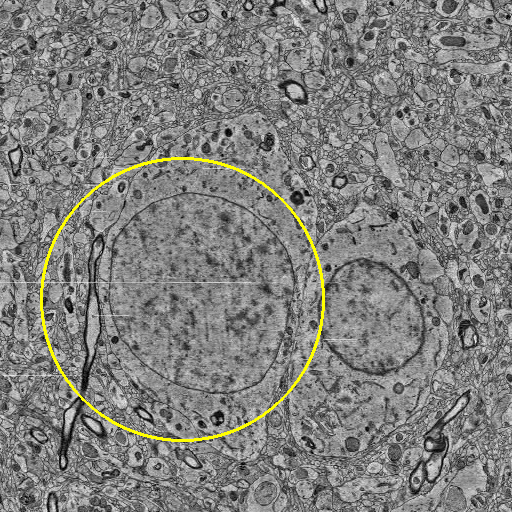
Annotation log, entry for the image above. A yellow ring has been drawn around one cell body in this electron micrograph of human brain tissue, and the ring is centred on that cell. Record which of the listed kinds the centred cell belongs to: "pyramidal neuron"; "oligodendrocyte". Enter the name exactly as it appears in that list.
pyramidal neuron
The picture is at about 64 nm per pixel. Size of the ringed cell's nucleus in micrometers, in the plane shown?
About 13 micrometres across in this plane, for the nucleus.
